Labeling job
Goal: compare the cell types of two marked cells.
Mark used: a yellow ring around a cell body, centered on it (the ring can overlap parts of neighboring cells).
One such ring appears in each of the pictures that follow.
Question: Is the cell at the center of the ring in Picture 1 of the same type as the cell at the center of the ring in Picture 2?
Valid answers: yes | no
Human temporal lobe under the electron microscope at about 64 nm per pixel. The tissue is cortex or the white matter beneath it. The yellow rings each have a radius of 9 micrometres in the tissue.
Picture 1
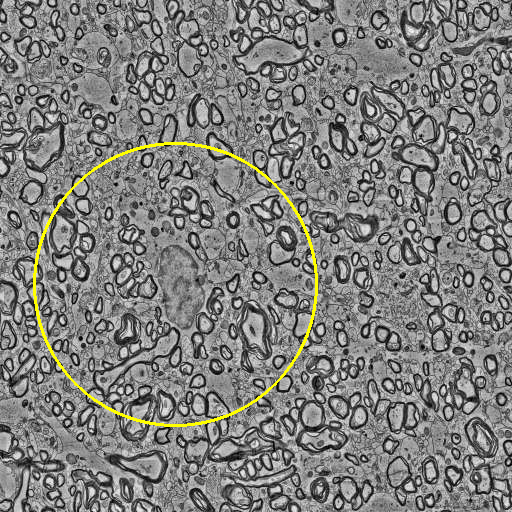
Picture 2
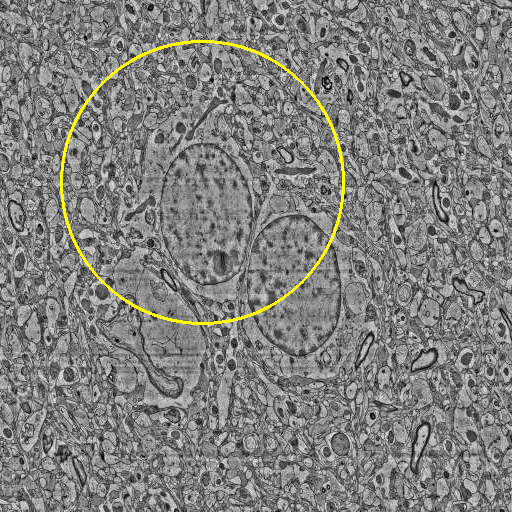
no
